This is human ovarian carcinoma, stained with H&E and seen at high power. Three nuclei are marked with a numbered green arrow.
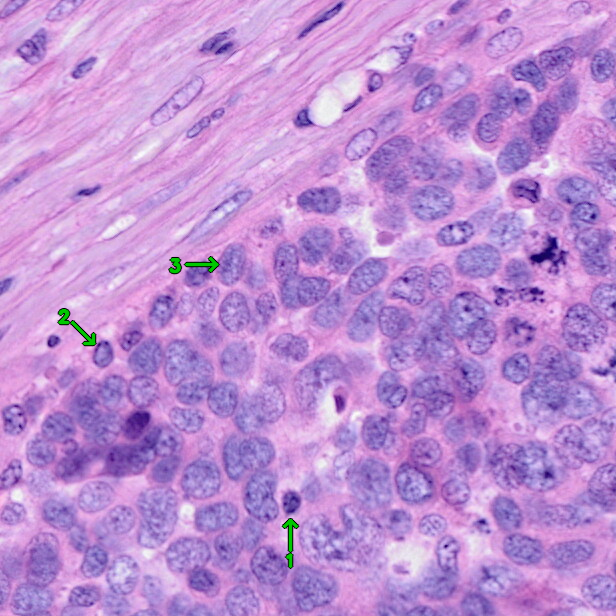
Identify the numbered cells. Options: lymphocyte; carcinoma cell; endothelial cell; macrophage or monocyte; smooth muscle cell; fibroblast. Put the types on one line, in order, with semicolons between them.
lymphocyte; macrophage or monocyte; carcinoma cell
